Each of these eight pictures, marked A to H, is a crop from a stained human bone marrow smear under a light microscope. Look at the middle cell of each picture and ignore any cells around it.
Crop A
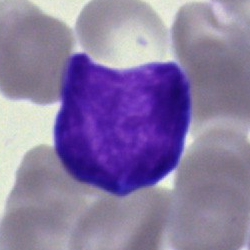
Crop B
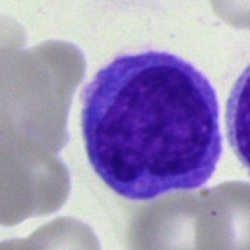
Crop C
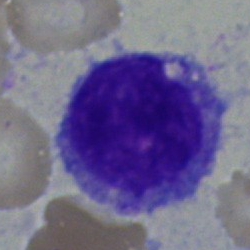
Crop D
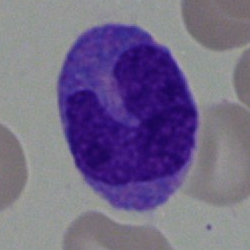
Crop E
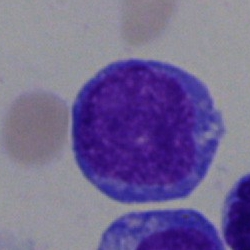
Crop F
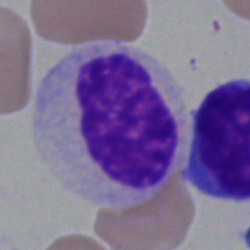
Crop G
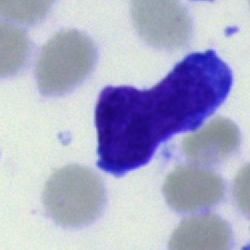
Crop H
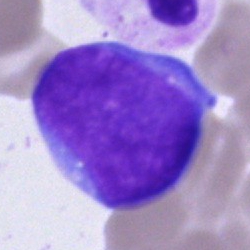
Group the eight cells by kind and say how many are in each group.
blast: 4
monocyte: 3
metamyelocyte: 1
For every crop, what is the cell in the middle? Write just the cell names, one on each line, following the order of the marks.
blast
monocyte
monocyte
monocyte
blast
metamyelocyte
blast
blast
